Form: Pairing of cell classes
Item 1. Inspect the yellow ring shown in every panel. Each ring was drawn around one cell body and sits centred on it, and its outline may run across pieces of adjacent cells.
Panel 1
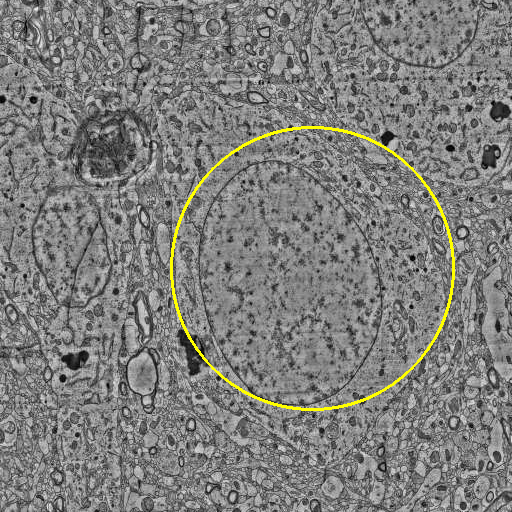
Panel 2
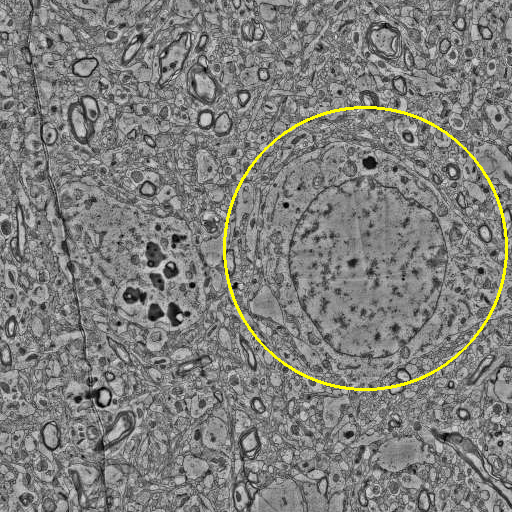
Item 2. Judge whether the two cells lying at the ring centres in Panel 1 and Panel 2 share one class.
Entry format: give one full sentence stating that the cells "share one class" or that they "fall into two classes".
The cells at the ring centres in Panel 1 and Panel 2 share one class.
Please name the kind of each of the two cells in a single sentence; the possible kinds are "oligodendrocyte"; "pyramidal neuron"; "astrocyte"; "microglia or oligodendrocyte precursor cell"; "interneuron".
Each of the two cells is a pyramidal neuron.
